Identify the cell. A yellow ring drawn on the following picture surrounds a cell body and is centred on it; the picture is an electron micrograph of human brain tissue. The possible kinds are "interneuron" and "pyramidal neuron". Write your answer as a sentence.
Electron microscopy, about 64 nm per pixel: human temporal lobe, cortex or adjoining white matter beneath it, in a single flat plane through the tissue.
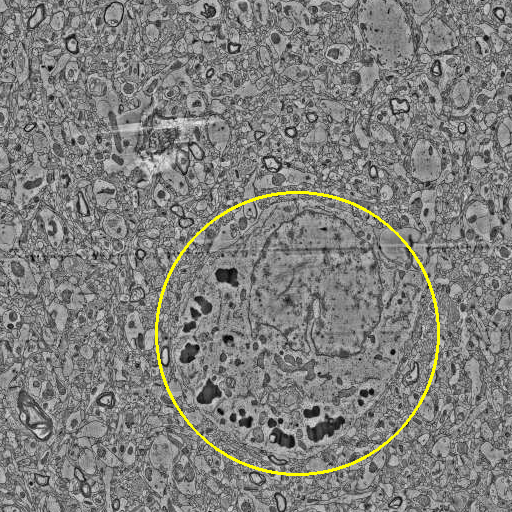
The cell identified by the ring is an interneuron.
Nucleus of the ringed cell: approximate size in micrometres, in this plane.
In this plane the nucleus is about 9 micrometres across.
